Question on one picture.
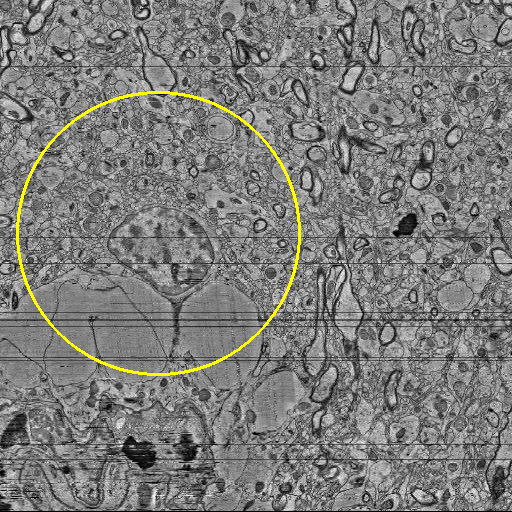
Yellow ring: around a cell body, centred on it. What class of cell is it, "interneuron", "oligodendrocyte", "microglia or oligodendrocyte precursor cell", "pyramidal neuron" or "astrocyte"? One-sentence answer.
This is an oligodendrocyte, the cell the ring is centred on.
